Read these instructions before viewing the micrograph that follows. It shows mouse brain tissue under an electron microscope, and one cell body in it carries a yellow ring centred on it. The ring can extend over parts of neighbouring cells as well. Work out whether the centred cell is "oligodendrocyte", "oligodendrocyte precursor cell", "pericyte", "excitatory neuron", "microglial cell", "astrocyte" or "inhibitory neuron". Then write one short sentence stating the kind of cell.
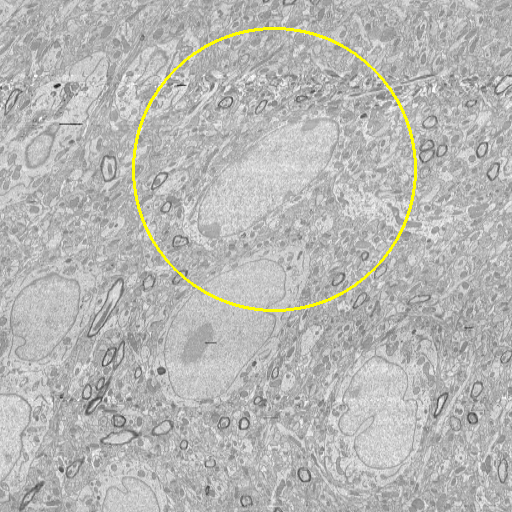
The ringed cell is an astrocyte.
